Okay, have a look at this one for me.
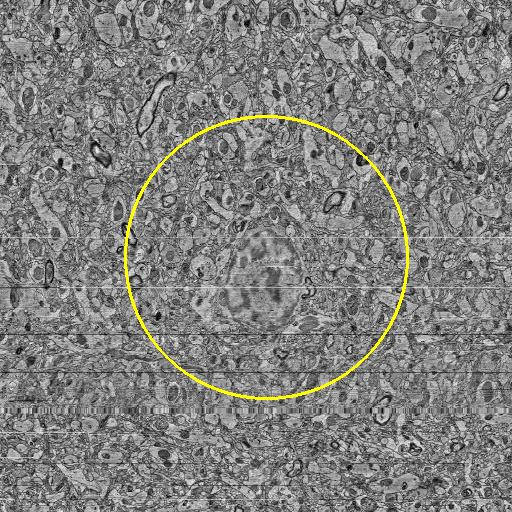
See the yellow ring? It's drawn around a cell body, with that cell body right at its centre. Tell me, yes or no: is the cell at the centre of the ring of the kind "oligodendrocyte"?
Yes, it is of that kind.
